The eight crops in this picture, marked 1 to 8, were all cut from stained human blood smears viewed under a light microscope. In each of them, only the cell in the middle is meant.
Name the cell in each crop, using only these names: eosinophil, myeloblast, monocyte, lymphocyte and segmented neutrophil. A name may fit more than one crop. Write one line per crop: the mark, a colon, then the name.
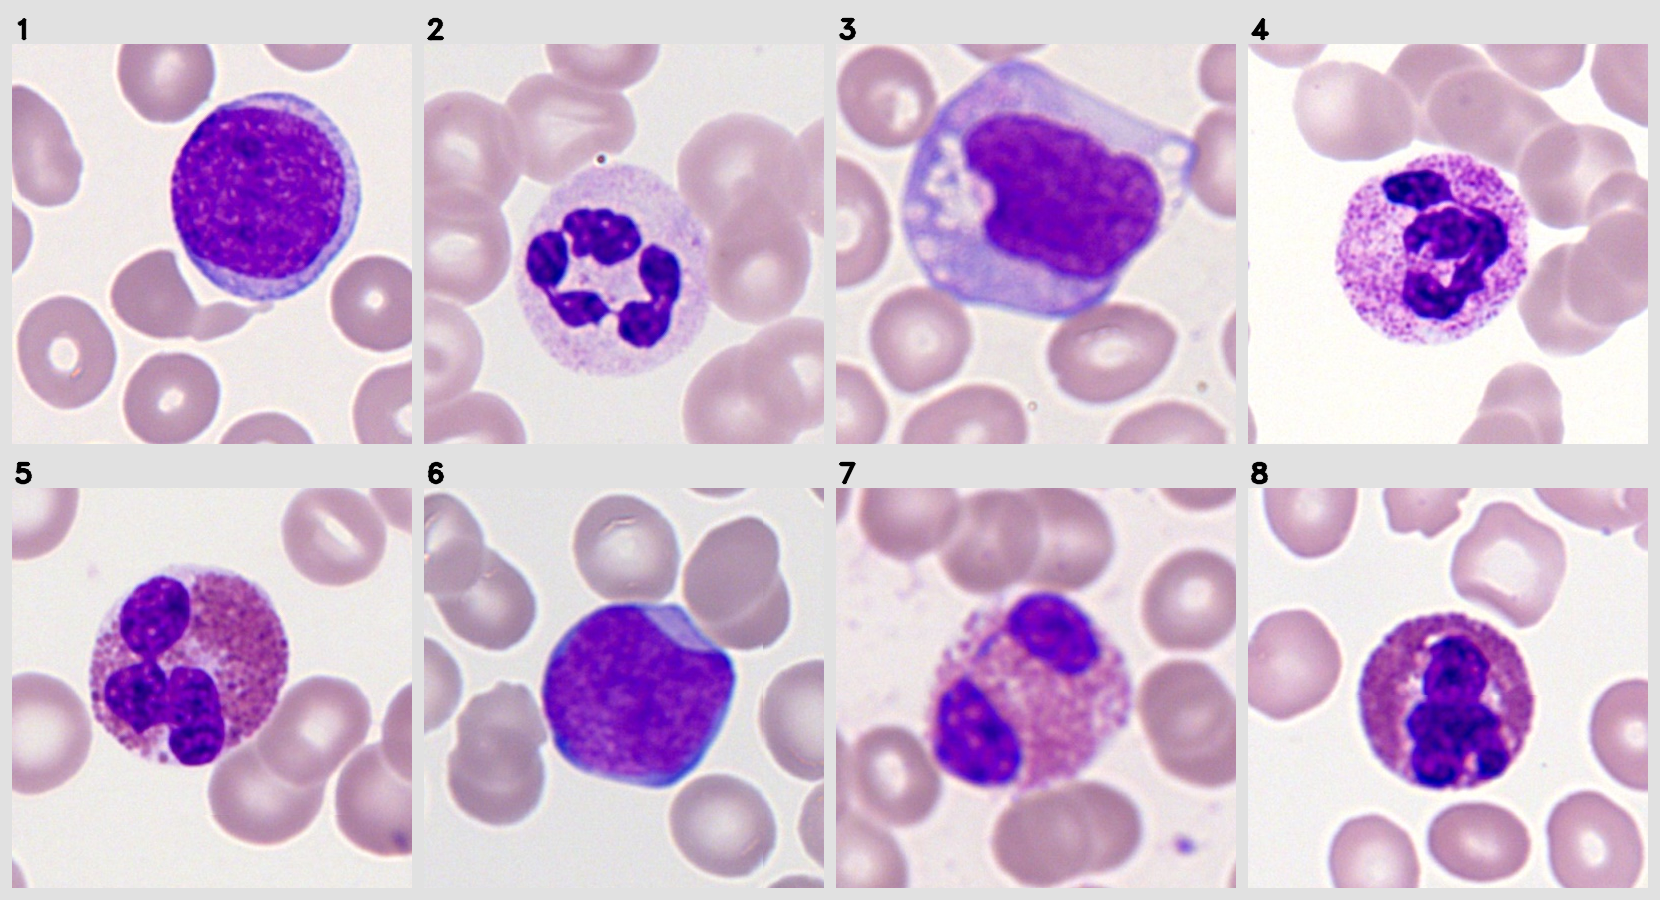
1: myeloblast
2: segmented neutrophil
3: monocyte
4: segmented neutrophil
5: eosinophil
6: myeloblast
7: eosinophil
8: eosinophil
